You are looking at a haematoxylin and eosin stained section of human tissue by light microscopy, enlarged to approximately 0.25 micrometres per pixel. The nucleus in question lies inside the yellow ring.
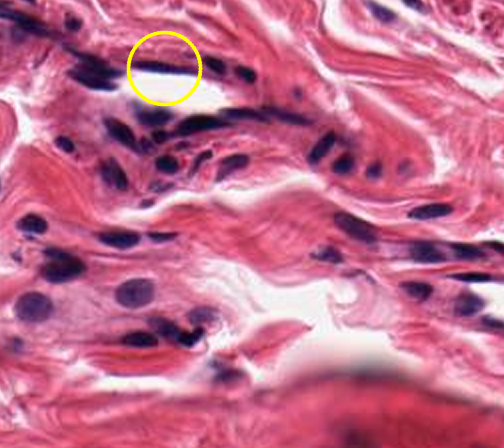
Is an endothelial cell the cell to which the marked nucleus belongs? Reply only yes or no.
yes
